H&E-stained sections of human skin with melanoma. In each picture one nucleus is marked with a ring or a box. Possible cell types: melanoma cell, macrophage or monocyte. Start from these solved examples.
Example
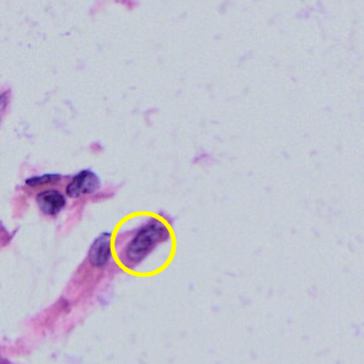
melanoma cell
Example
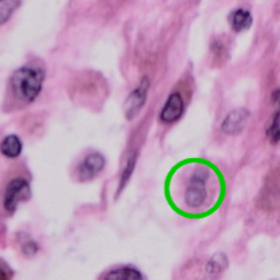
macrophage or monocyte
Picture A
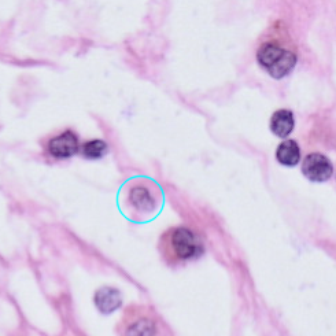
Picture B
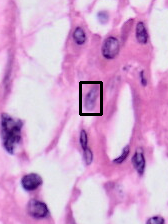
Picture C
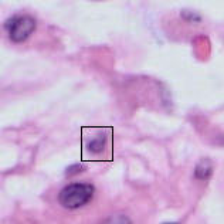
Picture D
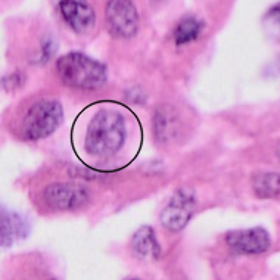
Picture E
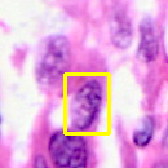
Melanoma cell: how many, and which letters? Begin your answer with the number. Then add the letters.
2: D, E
